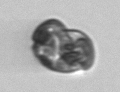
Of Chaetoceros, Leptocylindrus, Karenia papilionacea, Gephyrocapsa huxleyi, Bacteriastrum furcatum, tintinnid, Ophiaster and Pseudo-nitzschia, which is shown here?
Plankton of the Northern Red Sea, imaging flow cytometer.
Karenia papilionacea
